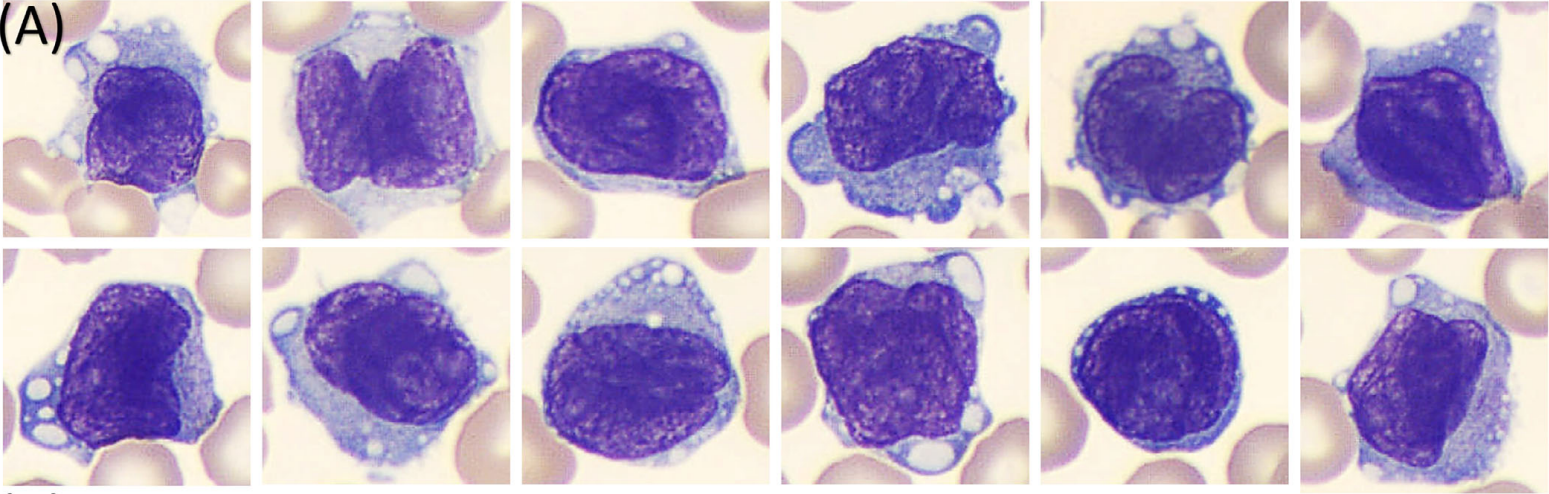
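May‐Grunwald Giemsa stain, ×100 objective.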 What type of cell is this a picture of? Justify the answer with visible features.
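Atypical lymphoid cells. Each tile shows one large cell whose nucleus fills most of the cell. The cells are surrounded by red blood cells. The nuclei are dark purple with irregular, indented outlines.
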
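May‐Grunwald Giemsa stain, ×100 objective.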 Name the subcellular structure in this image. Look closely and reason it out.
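Small clear round holes appear in the pale blue cytoplasm of several cells.
Answer: rare vacuoles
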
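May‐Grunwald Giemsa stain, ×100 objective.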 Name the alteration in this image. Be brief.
Folded chromatin nuclei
